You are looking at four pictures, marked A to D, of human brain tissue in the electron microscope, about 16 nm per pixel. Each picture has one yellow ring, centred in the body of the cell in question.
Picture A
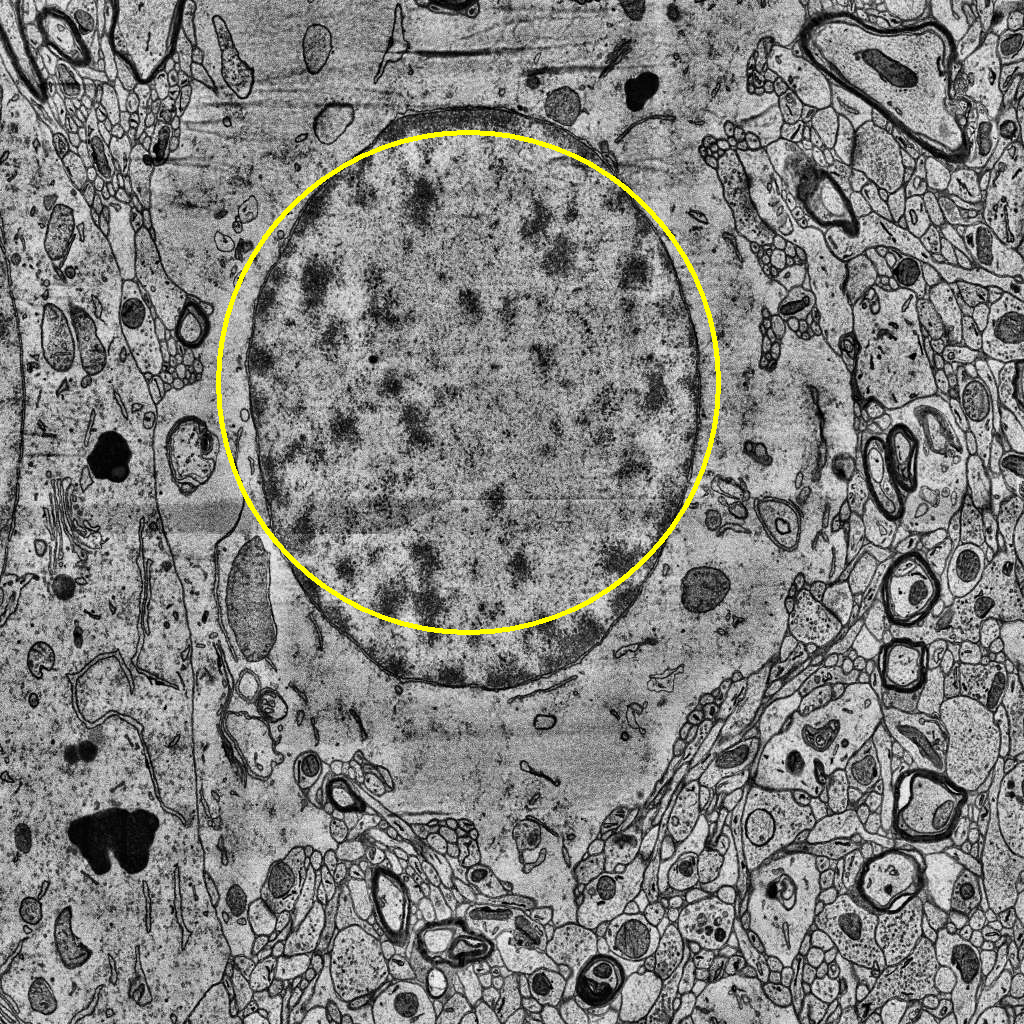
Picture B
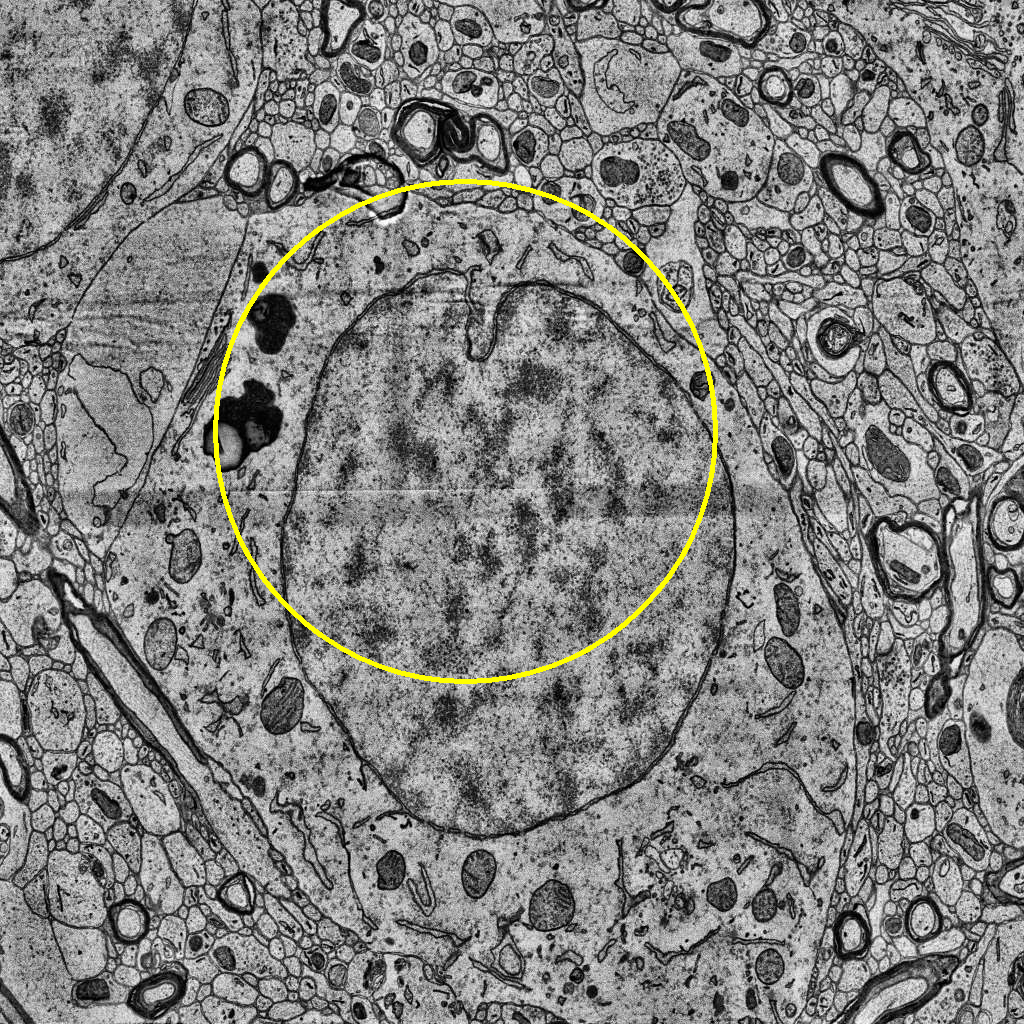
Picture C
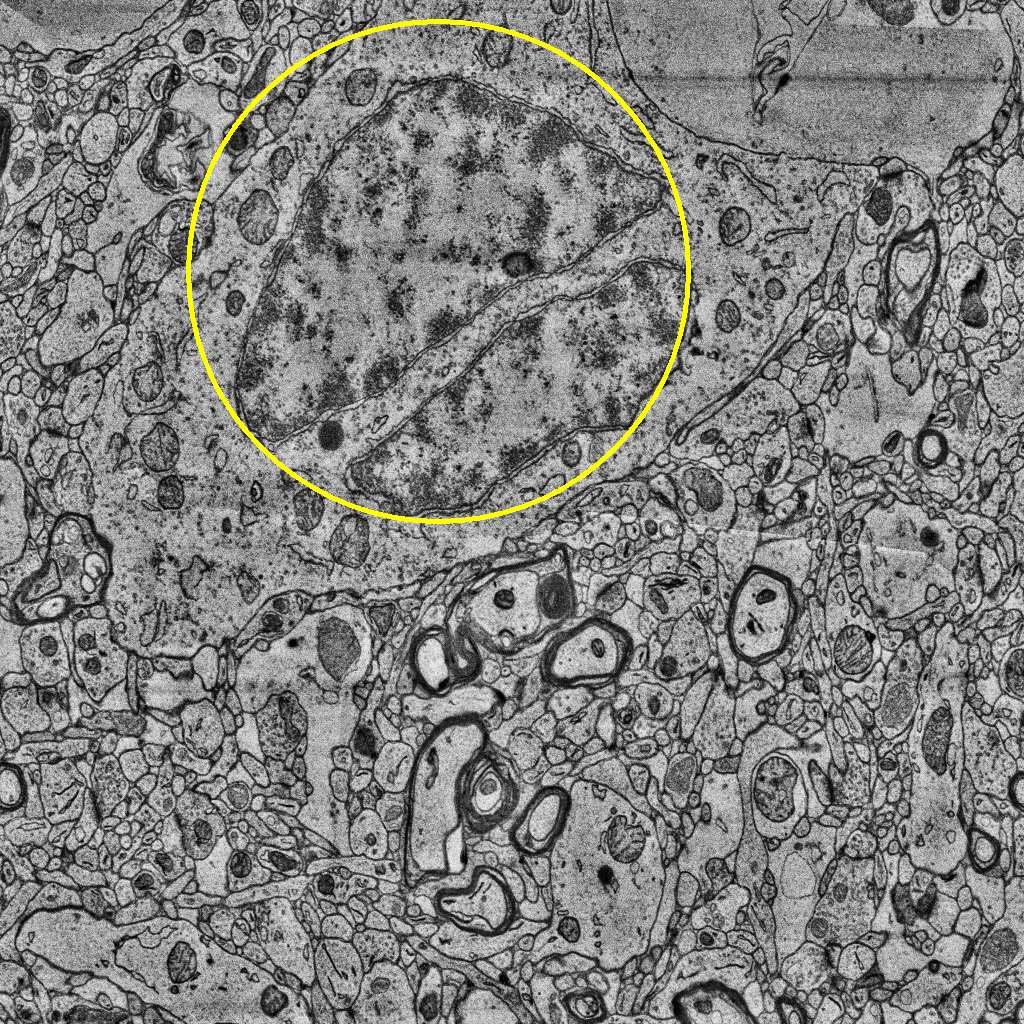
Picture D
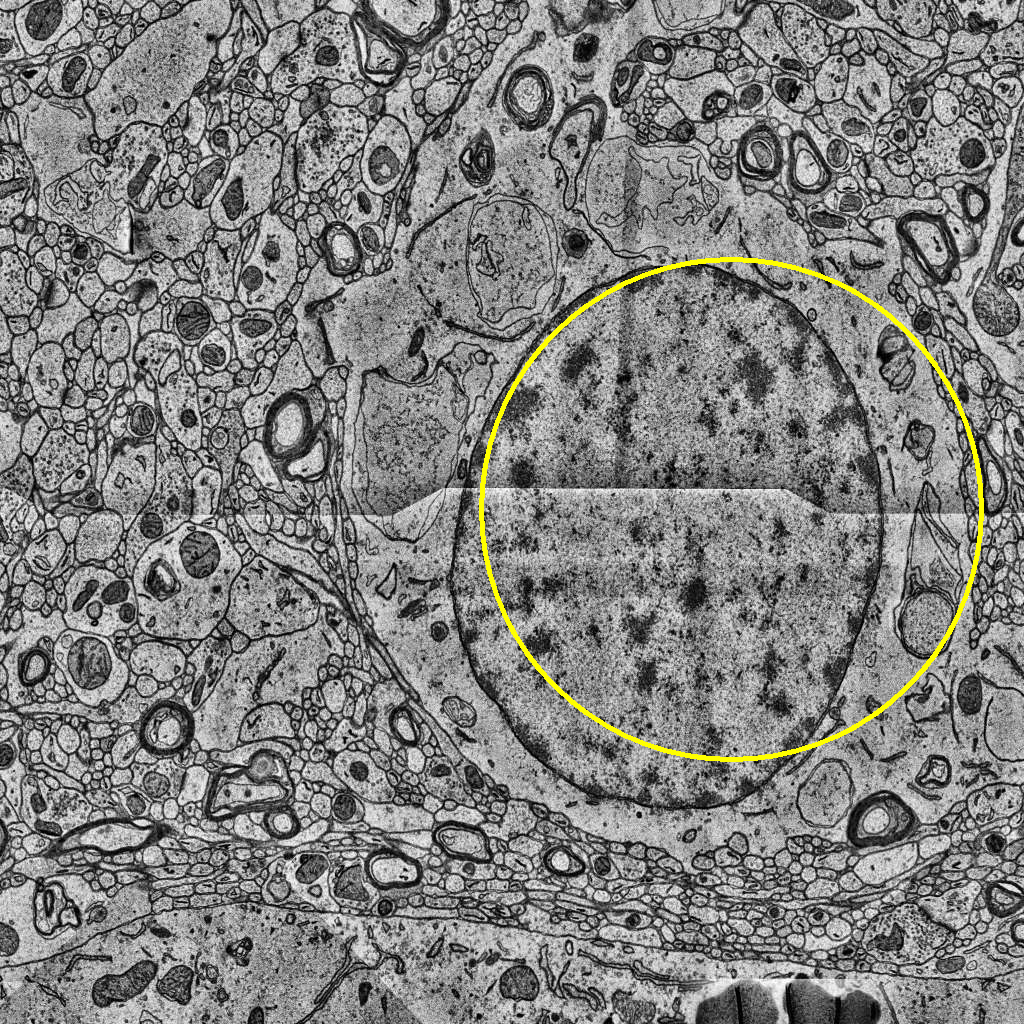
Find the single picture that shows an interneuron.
The interneuron is the one in picture C.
